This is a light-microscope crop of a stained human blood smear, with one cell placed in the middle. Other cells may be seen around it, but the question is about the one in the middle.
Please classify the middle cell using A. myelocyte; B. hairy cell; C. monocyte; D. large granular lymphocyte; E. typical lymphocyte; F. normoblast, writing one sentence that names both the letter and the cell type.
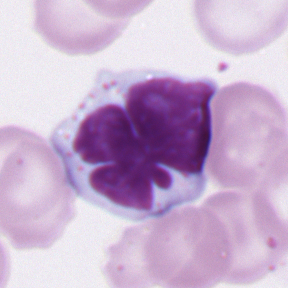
Option D holds, for the cell in the middle is a large granular lymphocyte.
